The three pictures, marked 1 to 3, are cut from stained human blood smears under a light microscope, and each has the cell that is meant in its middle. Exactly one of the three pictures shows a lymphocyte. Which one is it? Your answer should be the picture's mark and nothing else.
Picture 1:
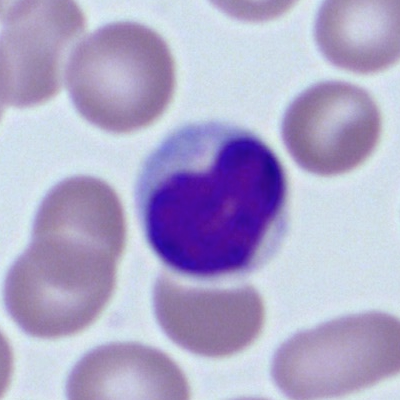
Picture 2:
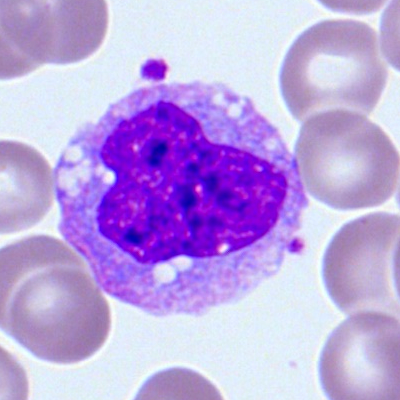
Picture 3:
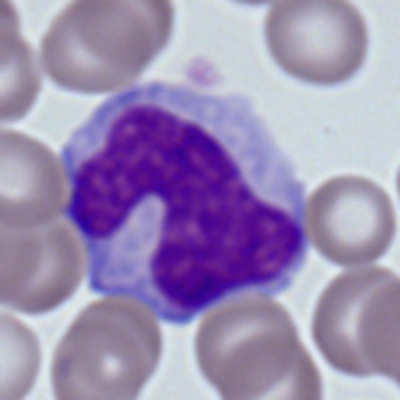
1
